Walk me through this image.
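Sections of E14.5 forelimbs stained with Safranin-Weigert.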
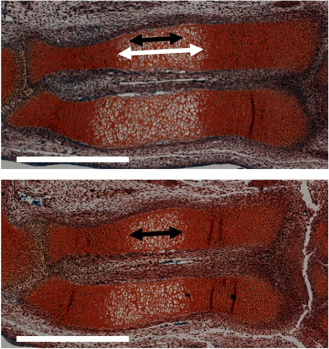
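In the middle of each element the chondrocytes are large, swollen and pale, giving a coarse, open texture, while toward the ends they are small and densely packed. The double-headed arrows span the zone of enlarged central cells.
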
